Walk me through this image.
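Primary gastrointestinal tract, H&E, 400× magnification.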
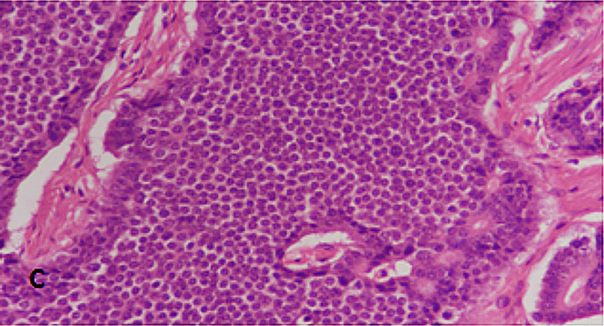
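A solid nest of tumor cells fills most of the field, made of closely packed, uniform small cells with round nuclei and scant cytoplasm. No dividing cells are evident among them. Thin bands of pink fibrous stroma with small vessels border the nest, and columnar gland-like epithelium appears at the edges of the field. This is the appearance of a well-differentiated neuroendocrine tumor with bland, monotonous cells.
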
